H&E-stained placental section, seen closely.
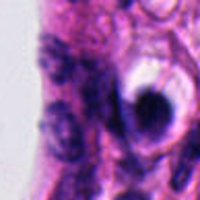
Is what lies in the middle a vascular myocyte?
No, it is a cytotrophoblast.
